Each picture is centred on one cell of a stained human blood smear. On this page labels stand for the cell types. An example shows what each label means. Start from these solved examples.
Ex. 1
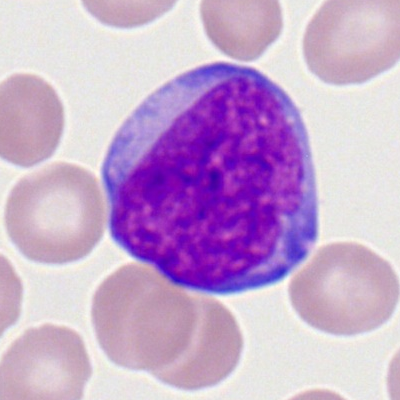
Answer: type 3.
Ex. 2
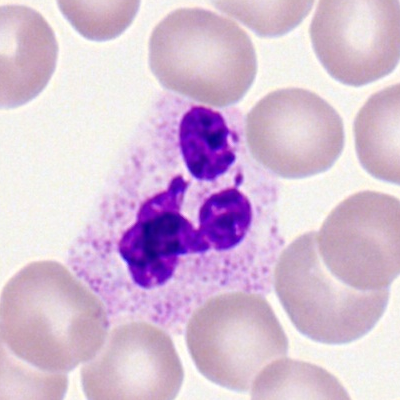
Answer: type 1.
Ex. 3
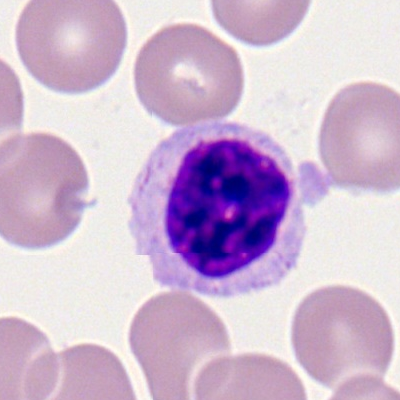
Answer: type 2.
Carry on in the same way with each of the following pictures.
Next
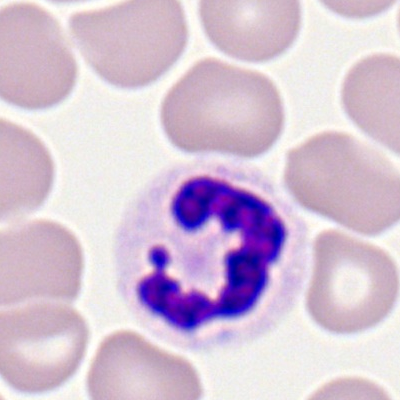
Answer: type 1.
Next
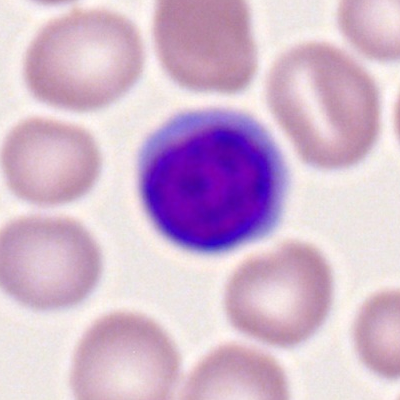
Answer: type 2.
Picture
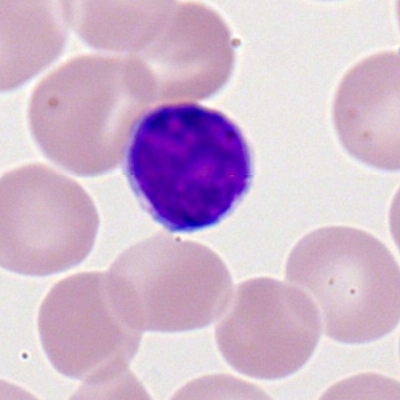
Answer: type 2.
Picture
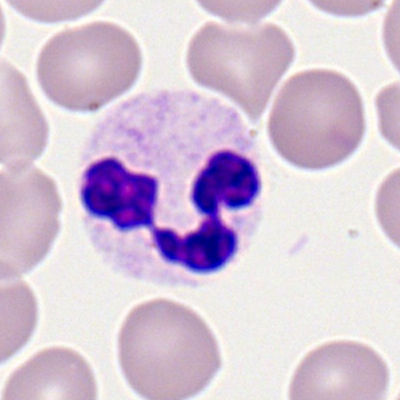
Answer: type 1.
